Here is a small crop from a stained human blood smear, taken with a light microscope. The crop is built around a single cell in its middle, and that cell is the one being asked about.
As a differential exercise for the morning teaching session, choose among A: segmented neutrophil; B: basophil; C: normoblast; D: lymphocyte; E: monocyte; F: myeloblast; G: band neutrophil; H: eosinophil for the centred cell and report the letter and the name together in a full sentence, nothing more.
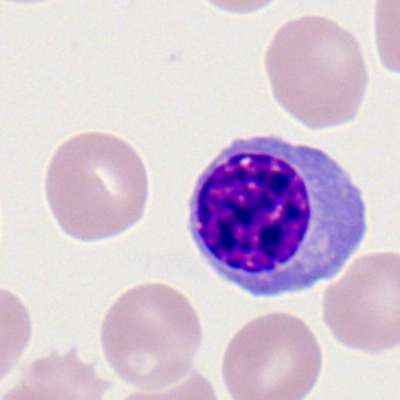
Option C is correct in that the central cell is a normoblast.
